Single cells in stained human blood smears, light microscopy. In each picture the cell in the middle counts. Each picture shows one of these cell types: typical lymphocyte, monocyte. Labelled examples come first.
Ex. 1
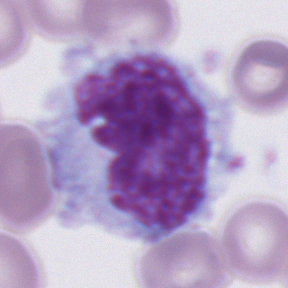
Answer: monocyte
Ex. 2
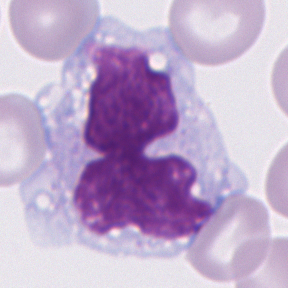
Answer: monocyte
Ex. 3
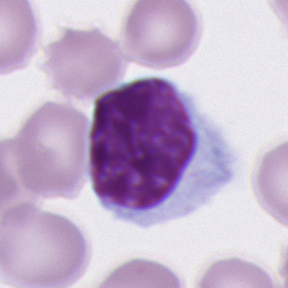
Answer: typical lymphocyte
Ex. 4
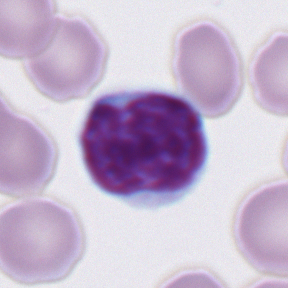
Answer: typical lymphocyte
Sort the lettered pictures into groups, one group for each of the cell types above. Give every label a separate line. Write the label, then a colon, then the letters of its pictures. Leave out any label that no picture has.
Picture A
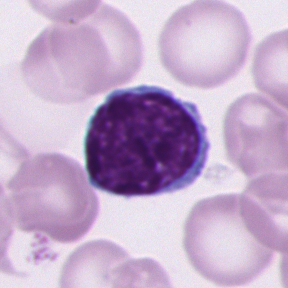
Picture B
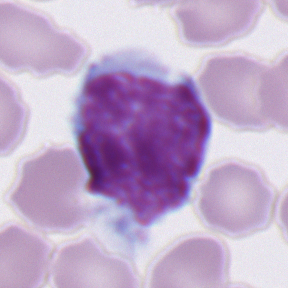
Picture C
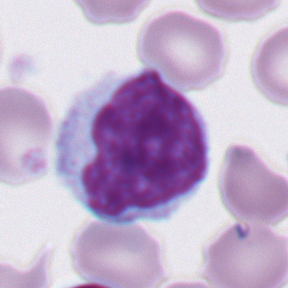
typical lymphocyte: A, B, C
